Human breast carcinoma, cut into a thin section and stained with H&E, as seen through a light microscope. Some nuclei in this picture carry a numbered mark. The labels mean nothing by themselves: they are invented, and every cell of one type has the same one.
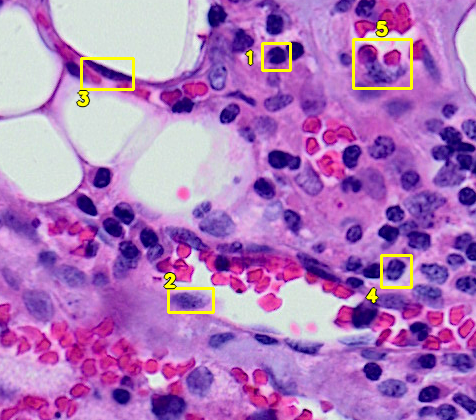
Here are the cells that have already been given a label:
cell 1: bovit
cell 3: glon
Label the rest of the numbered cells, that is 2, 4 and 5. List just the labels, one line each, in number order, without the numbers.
glon
bovit
glon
